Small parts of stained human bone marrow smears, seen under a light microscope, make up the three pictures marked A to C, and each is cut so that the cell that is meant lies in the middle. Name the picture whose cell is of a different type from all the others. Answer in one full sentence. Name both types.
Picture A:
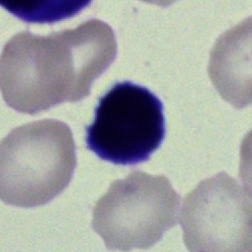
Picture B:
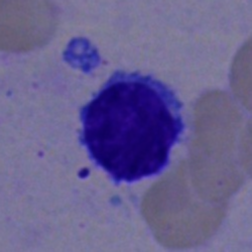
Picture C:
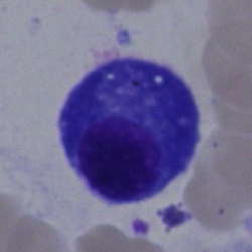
Picture C differs, because its cell is a plasma cell and the rest are lymphocytes.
